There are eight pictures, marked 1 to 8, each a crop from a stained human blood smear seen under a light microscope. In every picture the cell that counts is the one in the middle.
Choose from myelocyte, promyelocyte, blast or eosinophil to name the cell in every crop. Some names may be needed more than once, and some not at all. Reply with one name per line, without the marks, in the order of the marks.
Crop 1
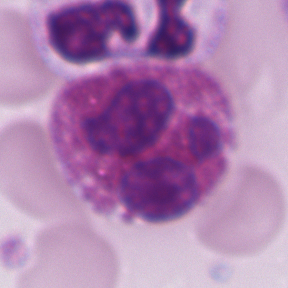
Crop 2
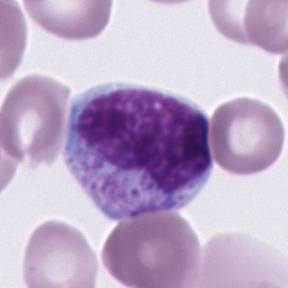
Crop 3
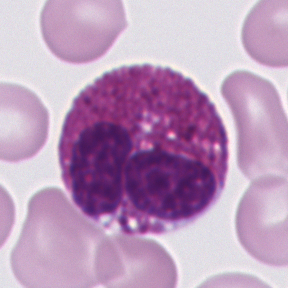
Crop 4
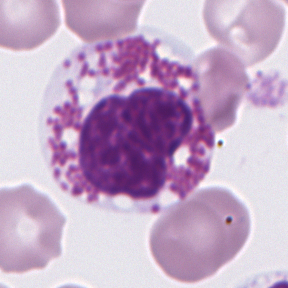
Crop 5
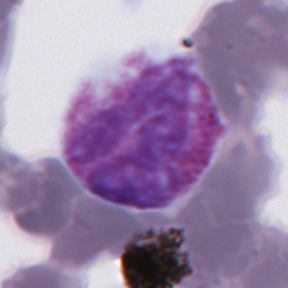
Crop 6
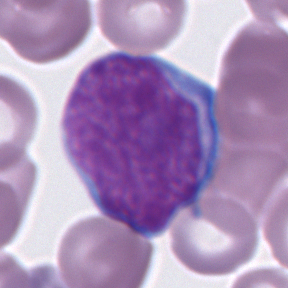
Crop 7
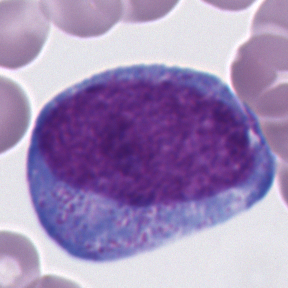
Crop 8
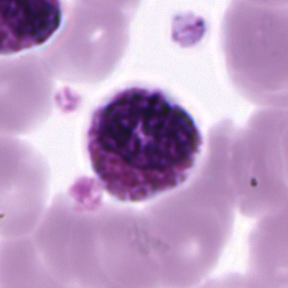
eosinophil
myelocyte
eosinophil
eosinophil
eosinophil
blast
promyelocyte
eosinophil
